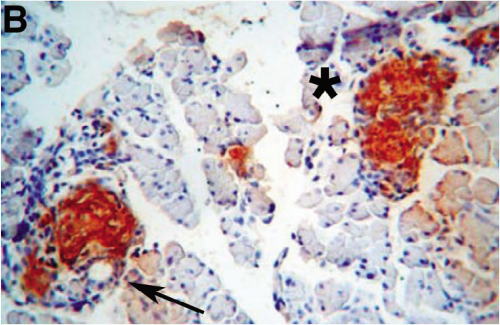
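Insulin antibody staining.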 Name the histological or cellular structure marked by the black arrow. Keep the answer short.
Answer: Pancreatic duct.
